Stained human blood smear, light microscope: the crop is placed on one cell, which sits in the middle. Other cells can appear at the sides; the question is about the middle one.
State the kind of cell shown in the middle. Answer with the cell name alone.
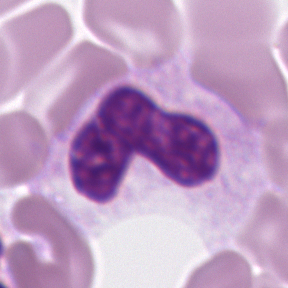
band neutrophil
